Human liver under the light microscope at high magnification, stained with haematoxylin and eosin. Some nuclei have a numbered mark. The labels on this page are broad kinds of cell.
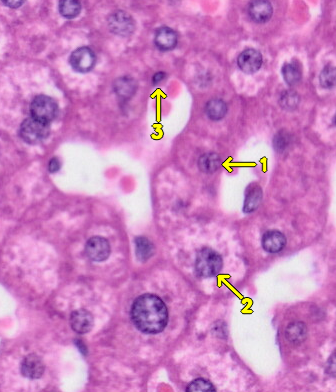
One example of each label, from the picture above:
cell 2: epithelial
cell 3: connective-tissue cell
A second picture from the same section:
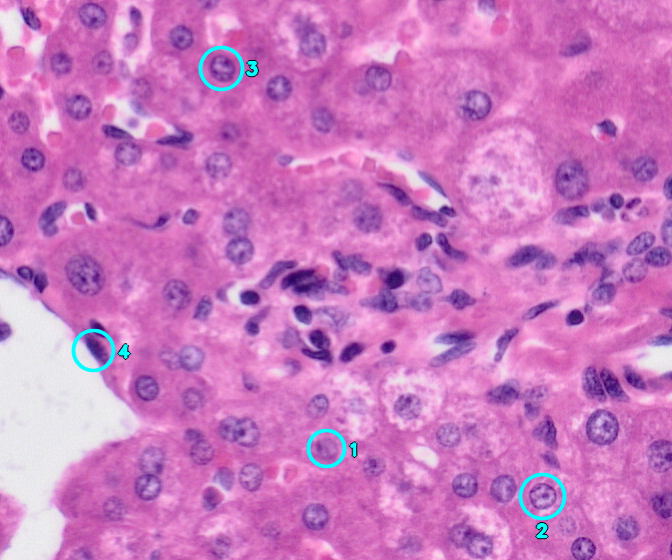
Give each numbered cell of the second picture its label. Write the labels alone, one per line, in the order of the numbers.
epithelial
epithelial
epithelial
connective-tissue cell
